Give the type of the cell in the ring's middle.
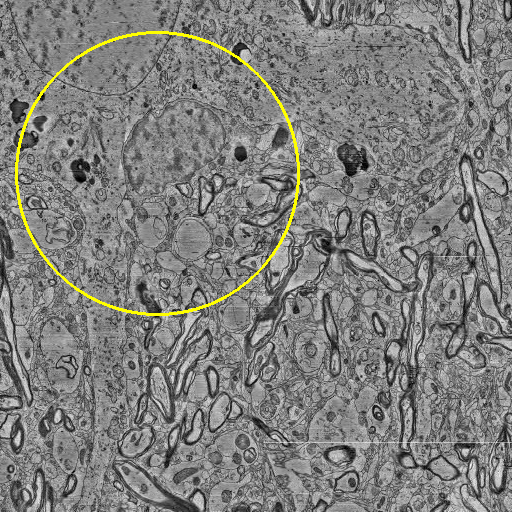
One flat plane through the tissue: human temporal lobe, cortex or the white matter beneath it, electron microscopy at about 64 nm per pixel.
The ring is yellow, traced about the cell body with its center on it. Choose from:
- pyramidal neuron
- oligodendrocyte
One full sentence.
Here, an oligodendrocyte is the cell lying at the center of the yellow ring.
